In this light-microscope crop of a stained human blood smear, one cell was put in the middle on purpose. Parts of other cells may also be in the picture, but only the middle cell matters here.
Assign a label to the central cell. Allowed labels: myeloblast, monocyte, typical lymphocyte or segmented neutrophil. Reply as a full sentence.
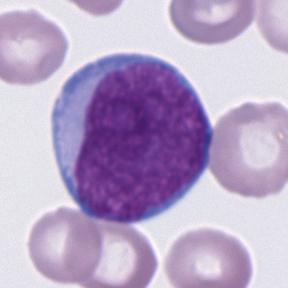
Regarding the central cell, it is a myeloblast.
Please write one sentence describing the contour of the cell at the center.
The cell shows a smooth outline that lacks any surface projections.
